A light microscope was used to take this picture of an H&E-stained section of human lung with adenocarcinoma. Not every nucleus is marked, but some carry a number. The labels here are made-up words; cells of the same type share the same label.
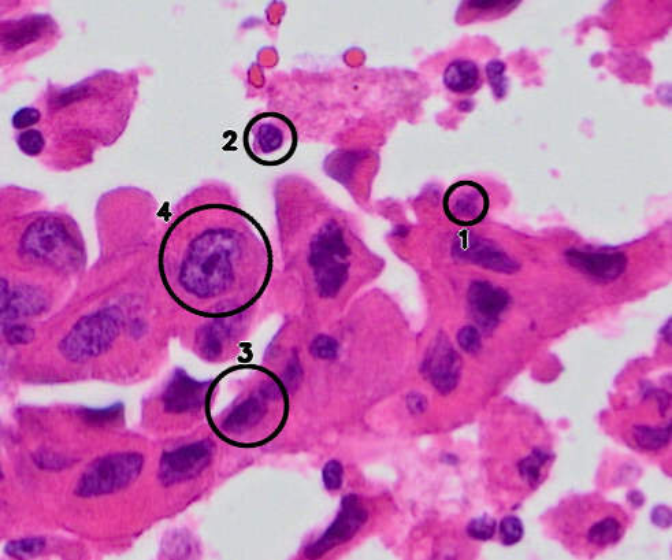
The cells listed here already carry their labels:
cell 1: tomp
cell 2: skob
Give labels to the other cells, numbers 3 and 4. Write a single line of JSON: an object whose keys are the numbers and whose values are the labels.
{"3": "tomp", "4": "tomp"}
